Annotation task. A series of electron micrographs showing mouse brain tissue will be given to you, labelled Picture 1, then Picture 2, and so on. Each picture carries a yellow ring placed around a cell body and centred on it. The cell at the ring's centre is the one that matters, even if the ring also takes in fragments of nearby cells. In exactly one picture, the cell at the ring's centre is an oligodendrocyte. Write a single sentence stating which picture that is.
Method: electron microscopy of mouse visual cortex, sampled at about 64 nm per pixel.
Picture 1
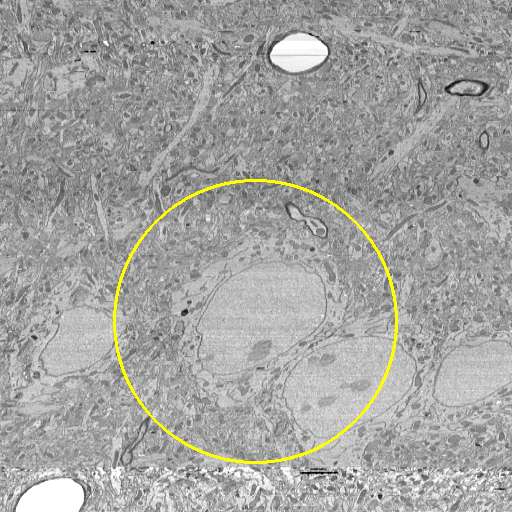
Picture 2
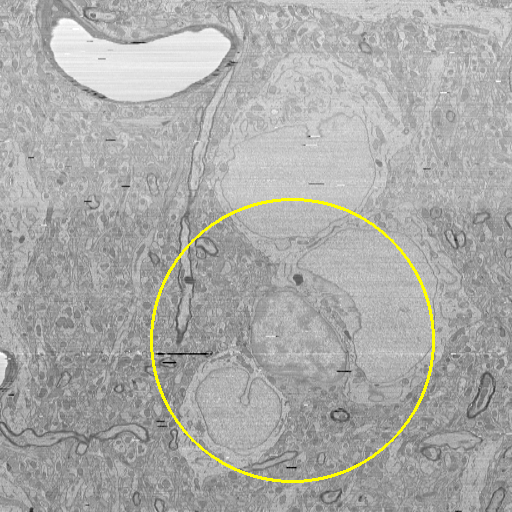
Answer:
Picture 2 holds the requested cell at the very centre of its ring.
